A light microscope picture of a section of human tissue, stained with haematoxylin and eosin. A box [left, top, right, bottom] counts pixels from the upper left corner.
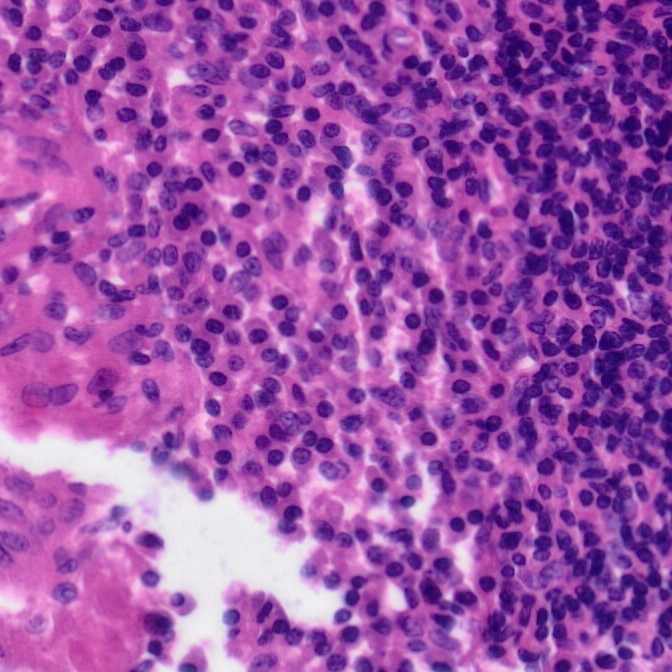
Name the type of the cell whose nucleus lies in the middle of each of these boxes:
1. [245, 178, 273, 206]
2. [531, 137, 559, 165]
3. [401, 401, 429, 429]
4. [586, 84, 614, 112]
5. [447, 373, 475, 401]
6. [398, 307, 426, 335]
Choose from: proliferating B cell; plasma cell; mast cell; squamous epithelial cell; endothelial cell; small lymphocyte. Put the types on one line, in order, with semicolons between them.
plasma cell; small lymphocyte; plasma cell; small lymphocyte; plasma cell; plasma cell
